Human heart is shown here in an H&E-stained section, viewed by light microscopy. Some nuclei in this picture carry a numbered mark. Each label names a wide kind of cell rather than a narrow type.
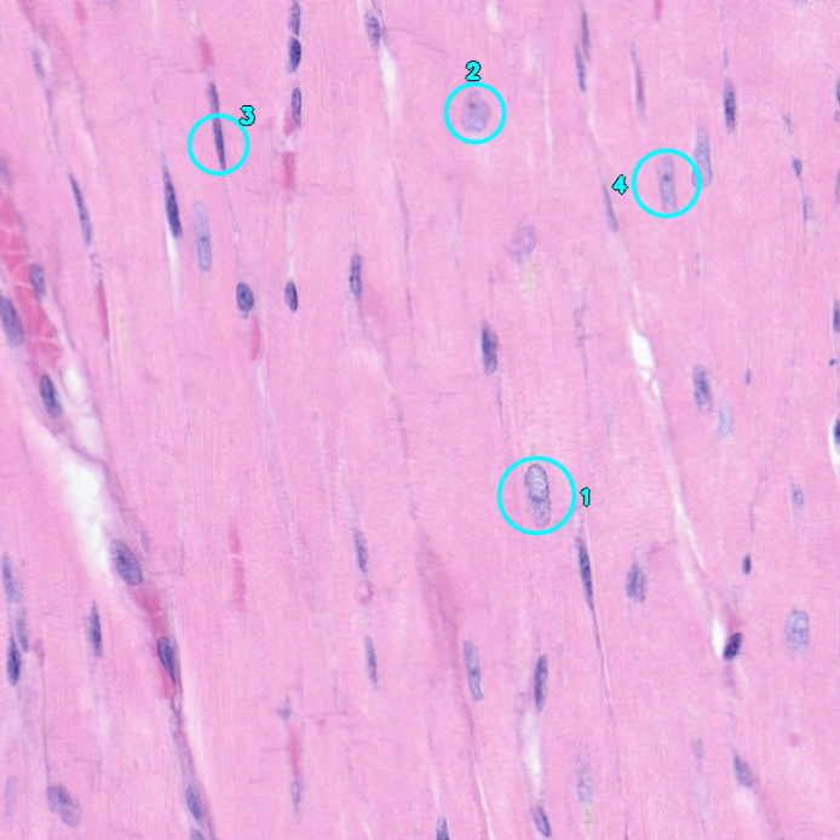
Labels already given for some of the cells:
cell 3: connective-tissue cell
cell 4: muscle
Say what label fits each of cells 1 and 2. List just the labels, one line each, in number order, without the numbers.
muscle
muscle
